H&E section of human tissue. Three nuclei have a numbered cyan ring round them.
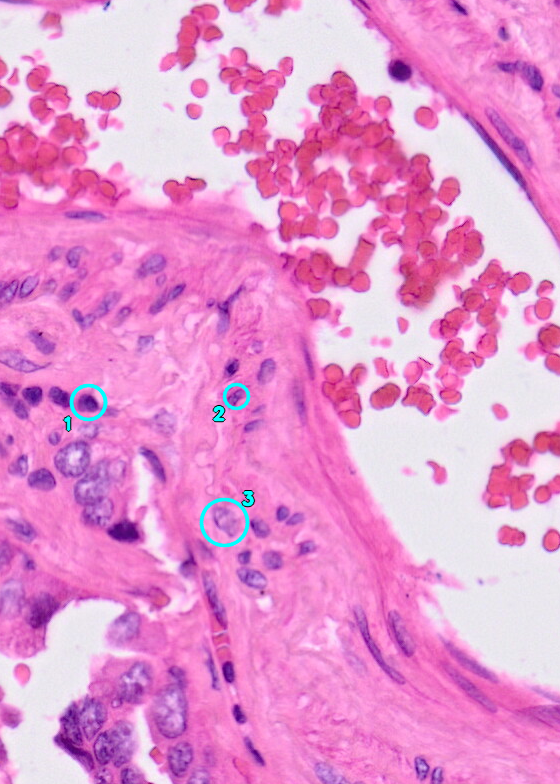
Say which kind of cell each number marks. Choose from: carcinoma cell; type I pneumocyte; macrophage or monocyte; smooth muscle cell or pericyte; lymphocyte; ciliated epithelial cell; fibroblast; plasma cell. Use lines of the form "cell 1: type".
cell 1: lymphocyte
cell 2: smooth muscle cell or pericyte
cell 3: fibroblast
